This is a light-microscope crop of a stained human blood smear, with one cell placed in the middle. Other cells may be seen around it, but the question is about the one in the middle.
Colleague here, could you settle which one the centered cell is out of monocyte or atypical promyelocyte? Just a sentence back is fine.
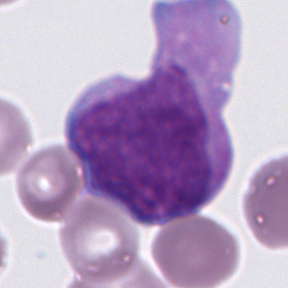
By classification, the middle cell of this crop is an atypical promyelocyte.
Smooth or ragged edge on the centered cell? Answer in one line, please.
The outer contour of the cell is irregular, with ragged portions or projections along it.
